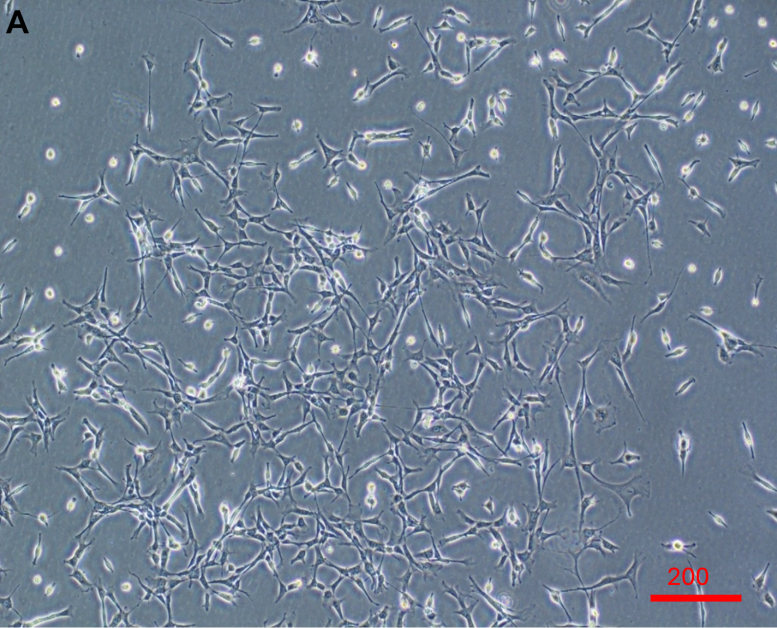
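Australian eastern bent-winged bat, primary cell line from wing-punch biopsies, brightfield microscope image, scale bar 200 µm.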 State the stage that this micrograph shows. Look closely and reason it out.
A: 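Approximately 20% confluency. Much of the field is empty background between cells. Cells are scattered in loose groups rather than a continuous layer.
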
